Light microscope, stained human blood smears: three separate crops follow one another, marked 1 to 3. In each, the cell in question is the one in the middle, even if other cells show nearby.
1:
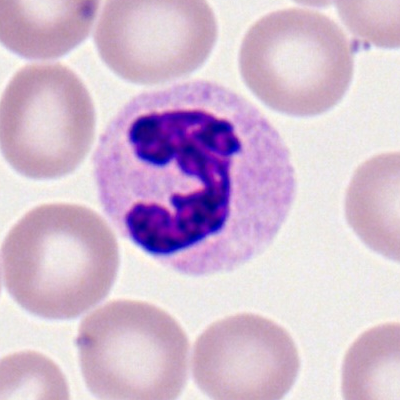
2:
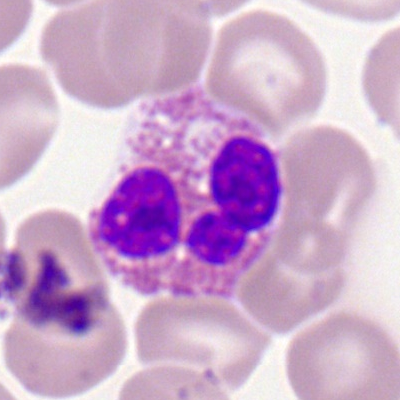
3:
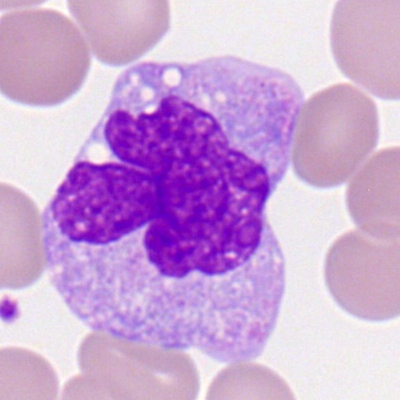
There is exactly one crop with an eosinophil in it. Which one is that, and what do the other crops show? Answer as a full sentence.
The cell of interest in crop 2 is an eosinophil, while crop 1 is a segmented neutrophil and crop 3 is a monocyte.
